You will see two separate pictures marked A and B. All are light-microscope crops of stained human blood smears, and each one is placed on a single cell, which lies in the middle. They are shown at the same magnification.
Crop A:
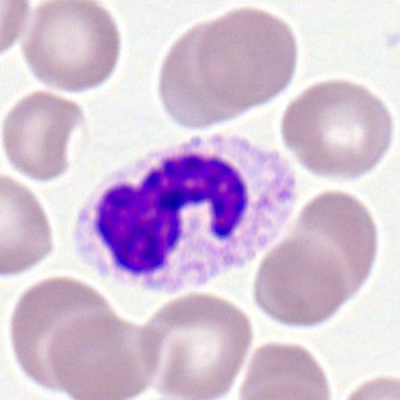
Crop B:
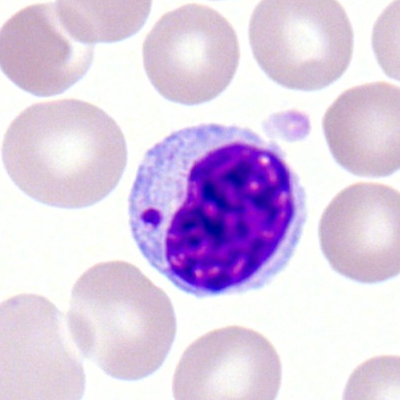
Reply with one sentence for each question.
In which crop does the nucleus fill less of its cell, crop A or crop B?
It is the cell in crop A that is filled less by its nucleus.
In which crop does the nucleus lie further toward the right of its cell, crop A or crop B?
Seen within its cell, the nucleus in crop B lies further toward the right.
